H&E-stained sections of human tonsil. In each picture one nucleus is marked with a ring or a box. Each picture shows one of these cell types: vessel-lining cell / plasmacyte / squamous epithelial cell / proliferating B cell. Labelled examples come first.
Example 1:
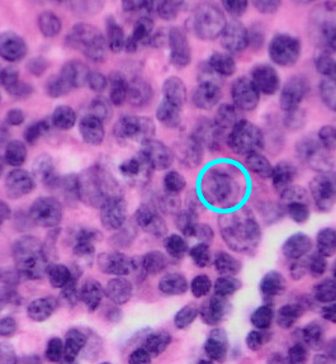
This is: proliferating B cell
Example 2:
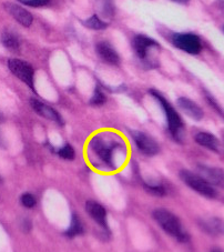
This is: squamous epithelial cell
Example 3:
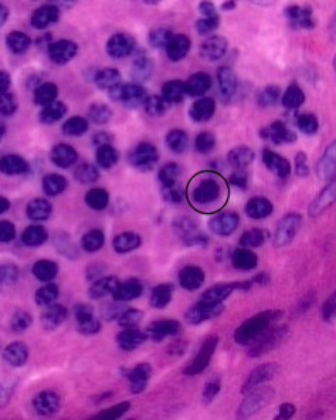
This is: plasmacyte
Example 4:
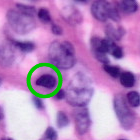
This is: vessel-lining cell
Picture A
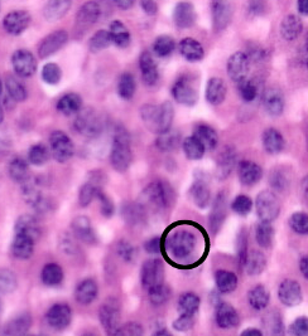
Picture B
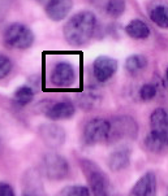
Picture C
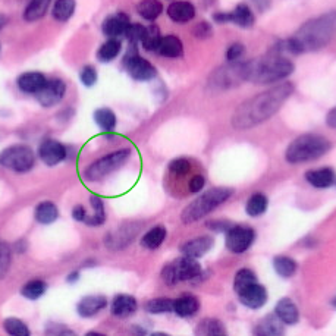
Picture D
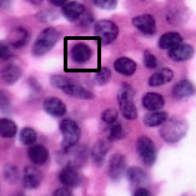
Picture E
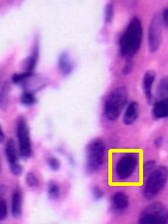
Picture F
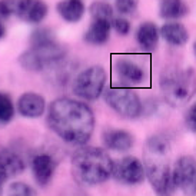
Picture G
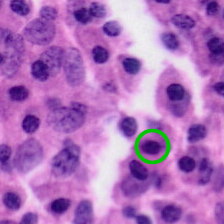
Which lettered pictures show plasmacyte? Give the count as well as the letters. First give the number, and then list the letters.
4, namely A, B, D, G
